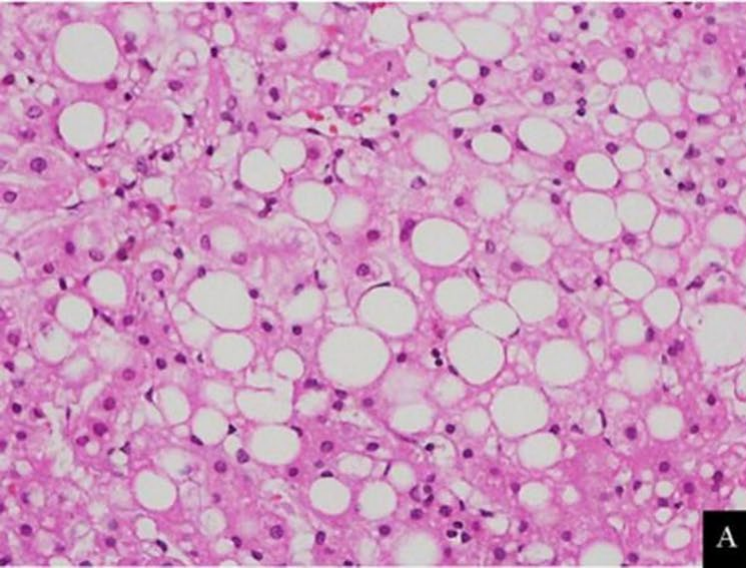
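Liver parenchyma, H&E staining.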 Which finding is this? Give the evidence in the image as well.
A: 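Many hepatocytes contain a single large round clear vacuole filling the cell. Other hepatocytes hold several small clear vacuoles in their cytoplasm. Vacuoles of widely varying sizes are scattered across the parenchyma. So: mixed macro- and microvesicular steatosis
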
